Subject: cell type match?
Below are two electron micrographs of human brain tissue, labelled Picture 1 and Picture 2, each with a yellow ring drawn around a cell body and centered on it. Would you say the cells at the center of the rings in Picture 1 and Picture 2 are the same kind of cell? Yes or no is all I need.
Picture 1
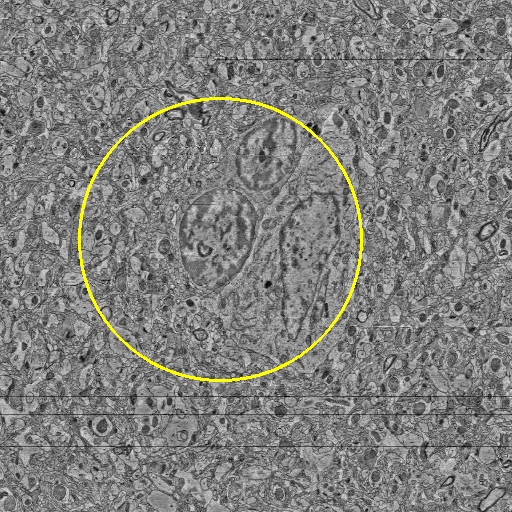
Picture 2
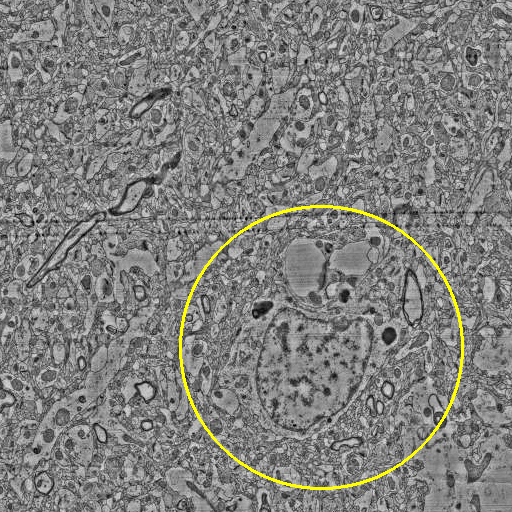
no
